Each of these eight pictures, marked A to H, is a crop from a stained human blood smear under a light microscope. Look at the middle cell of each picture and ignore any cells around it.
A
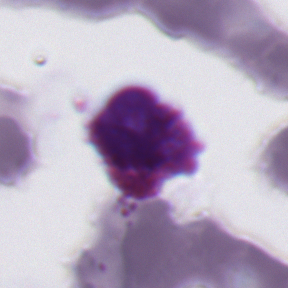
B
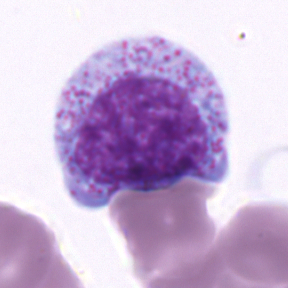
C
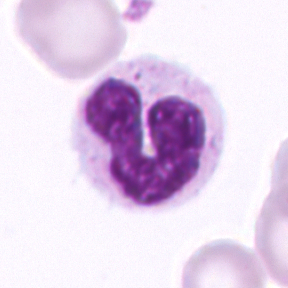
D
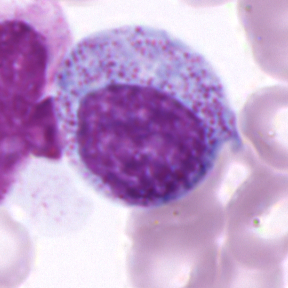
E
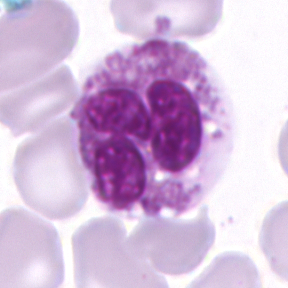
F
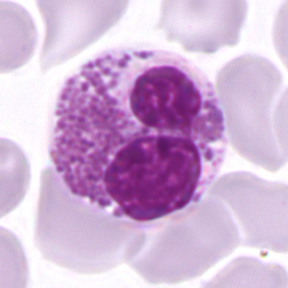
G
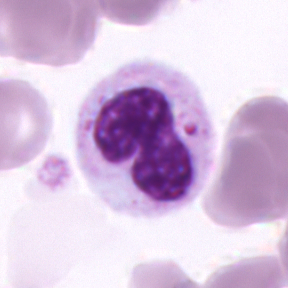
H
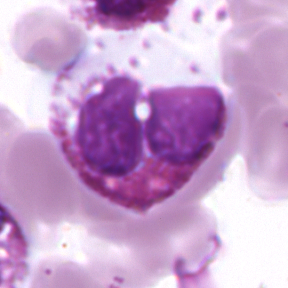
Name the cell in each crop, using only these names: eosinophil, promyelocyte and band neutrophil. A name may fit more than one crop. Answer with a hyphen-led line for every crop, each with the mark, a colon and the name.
- A: eosinophil
- B: promyelocyte
- C: band neutrophil
- D: promyelocyte
- E: eosinophil
- F: eosinophil
- G: band neutrophil
- H: eosinophil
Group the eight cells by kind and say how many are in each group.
eosinophil: 4
promyelocyte: 2
band neutrophil: 2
